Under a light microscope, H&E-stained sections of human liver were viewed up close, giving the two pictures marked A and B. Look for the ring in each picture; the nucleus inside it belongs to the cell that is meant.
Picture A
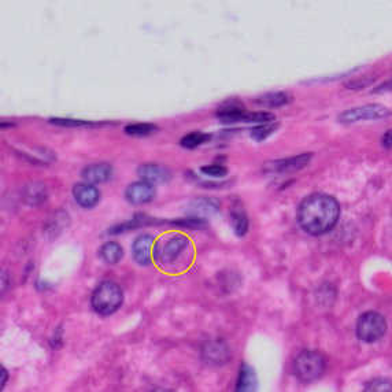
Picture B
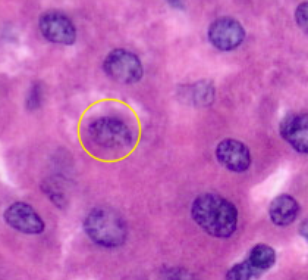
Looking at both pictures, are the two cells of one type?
no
